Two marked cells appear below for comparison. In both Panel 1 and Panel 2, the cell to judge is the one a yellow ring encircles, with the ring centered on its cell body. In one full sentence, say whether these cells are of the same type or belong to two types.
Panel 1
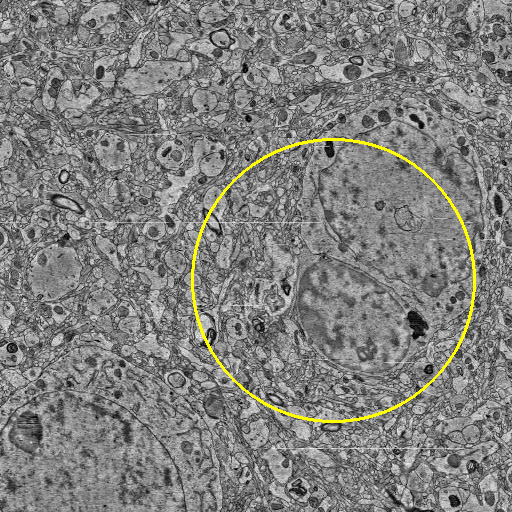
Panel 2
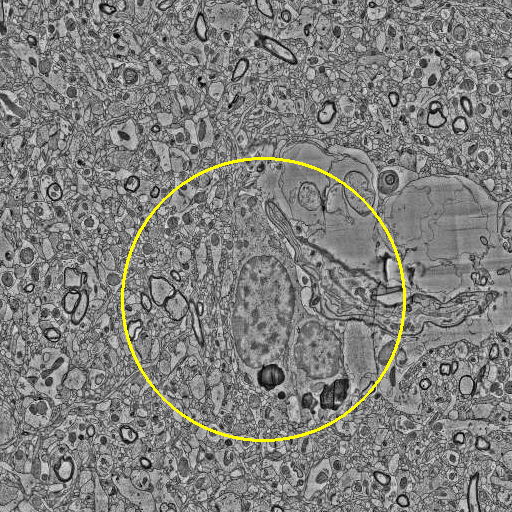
The cell centered in the Panel 1 ring and the one in Panel 2 are of the same type.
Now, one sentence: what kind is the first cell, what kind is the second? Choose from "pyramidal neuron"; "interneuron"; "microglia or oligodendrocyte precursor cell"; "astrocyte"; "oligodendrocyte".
Both the first and the second picture show an oligodendrocyte in the ring.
